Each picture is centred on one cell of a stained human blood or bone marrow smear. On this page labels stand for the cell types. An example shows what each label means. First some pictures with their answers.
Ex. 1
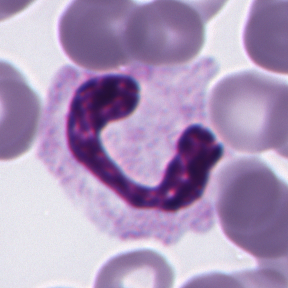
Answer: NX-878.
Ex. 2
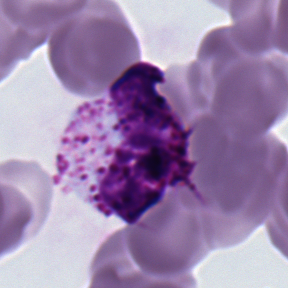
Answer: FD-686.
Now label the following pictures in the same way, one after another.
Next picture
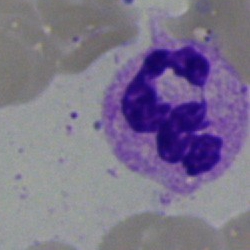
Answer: NX-878.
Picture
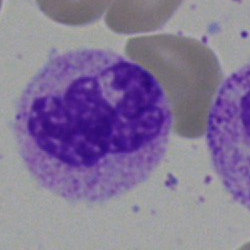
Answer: NX-878.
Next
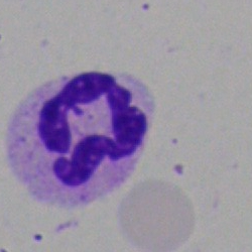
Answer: NX-878.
